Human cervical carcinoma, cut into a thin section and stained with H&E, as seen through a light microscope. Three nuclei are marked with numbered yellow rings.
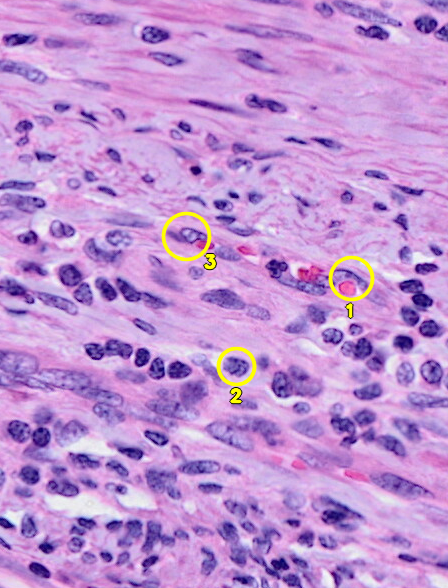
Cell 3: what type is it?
endothelial cell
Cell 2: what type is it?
lymphocyte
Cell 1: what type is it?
endothelial cell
